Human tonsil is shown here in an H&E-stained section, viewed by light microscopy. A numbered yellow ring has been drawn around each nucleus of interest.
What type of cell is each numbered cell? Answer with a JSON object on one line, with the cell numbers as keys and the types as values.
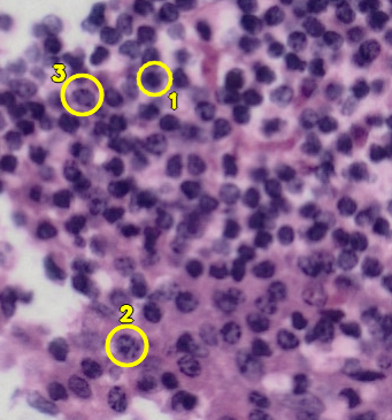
{"1": "small lymphocyte", "2": "plasma cell", "3": "small lymphocyte"}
